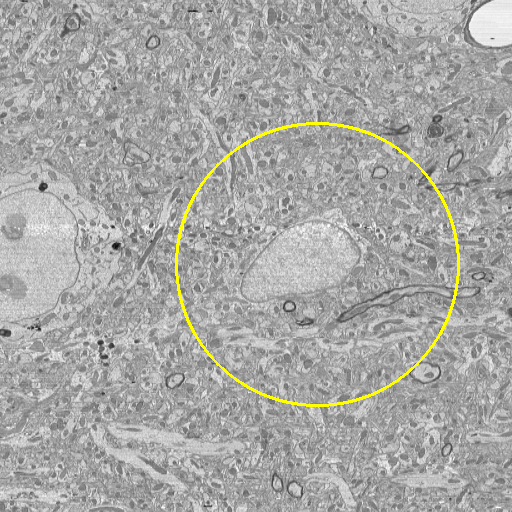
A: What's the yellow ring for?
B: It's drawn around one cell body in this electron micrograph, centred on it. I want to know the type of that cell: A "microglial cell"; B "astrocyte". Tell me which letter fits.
B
